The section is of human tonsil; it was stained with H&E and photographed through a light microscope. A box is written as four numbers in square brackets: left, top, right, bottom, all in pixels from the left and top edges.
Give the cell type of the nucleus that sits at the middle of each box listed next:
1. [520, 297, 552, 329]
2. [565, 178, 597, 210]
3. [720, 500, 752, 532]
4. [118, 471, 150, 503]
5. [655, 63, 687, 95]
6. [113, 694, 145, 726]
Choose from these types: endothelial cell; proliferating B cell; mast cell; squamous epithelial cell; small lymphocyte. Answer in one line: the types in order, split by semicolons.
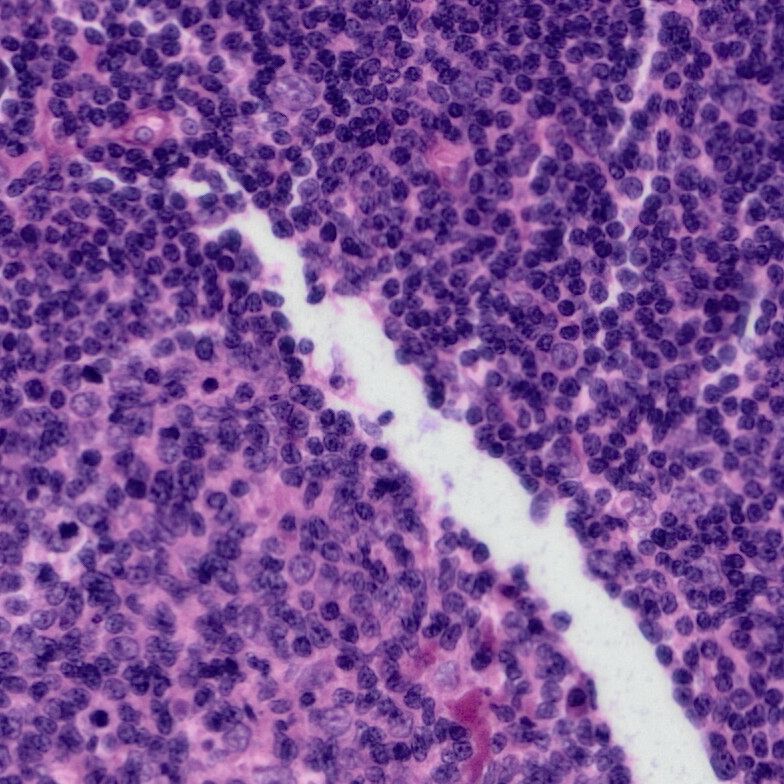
small lymphocyte; small lymphocyte; small lymphocyte; proliferating B cell; small lymphocyte; proliferating B cell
